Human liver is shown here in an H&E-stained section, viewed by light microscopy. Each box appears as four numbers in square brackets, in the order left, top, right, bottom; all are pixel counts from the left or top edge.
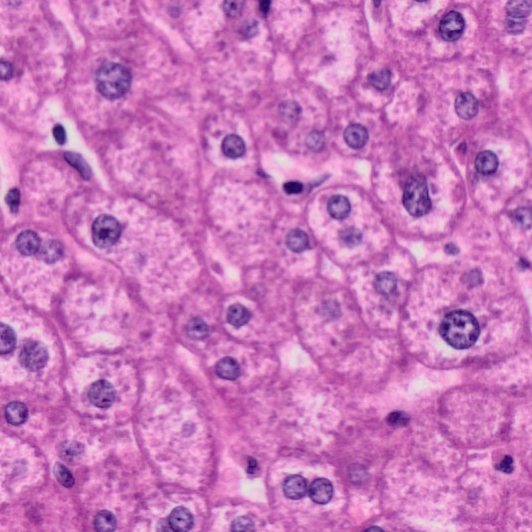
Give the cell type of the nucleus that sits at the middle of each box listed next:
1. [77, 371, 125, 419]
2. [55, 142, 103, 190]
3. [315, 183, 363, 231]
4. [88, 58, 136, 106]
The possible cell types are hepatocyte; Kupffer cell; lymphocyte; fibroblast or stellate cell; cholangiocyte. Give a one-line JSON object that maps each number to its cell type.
{"1": "hepatocyte", "2": "Kupffer cell", "3": "hepatocyte", "4": "hepatocyte"}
